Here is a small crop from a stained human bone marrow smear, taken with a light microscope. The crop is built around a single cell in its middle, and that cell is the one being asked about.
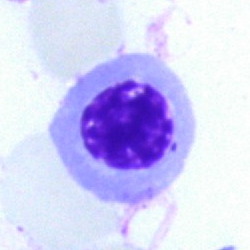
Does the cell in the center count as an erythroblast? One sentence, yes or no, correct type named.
Yes, the cell that occupies the centre is an erythroblast.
